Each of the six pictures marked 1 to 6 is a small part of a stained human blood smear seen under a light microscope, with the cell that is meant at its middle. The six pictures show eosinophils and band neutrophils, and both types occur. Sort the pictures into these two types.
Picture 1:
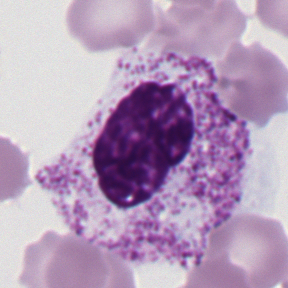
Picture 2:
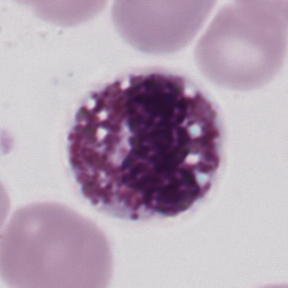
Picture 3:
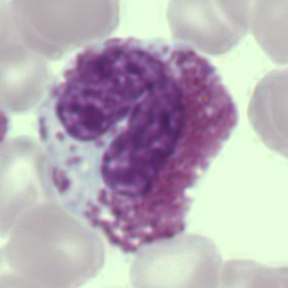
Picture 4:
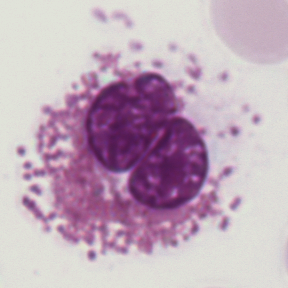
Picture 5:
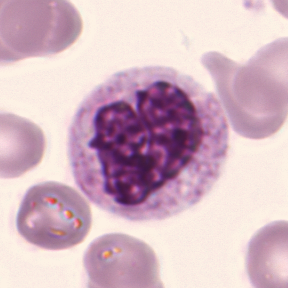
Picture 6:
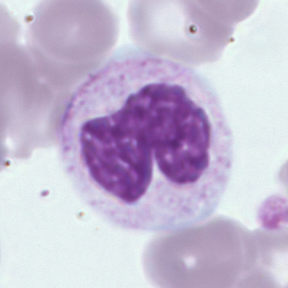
1: band neutrophil
2: eosinophil
3: eosinophil
4: eosinophil
5: band neutrophil
6: band neutrophil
